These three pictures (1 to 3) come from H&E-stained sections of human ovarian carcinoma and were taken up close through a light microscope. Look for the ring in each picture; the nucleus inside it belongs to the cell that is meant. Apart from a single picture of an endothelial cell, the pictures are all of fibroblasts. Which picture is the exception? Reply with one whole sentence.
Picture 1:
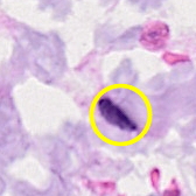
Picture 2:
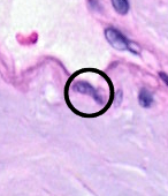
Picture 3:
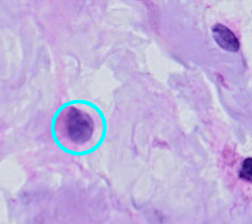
Picture 2 shows the endothelial cell.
